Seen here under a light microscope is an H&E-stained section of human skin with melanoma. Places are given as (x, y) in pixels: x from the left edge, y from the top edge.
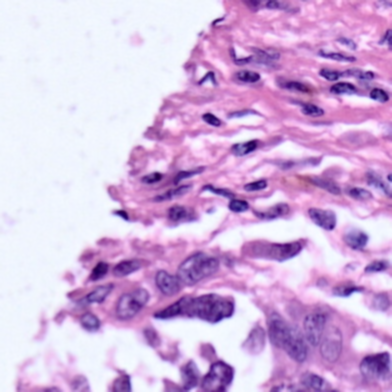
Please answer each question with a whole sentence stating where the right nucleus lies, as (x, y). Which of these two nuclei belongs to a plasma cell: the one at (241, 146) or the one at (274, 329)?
The nucleus at (241, 146) is attributed to a plasma cell, unlike the other nucleus.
